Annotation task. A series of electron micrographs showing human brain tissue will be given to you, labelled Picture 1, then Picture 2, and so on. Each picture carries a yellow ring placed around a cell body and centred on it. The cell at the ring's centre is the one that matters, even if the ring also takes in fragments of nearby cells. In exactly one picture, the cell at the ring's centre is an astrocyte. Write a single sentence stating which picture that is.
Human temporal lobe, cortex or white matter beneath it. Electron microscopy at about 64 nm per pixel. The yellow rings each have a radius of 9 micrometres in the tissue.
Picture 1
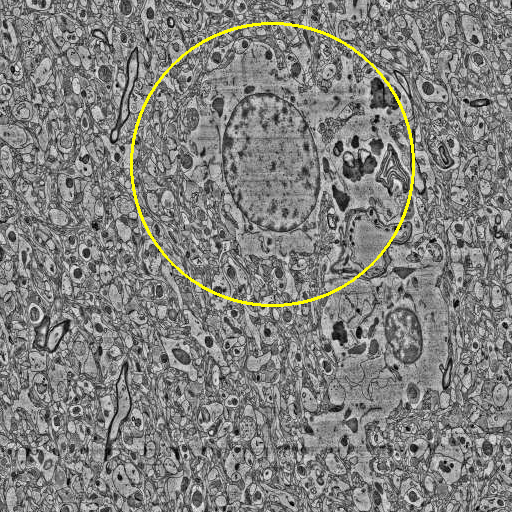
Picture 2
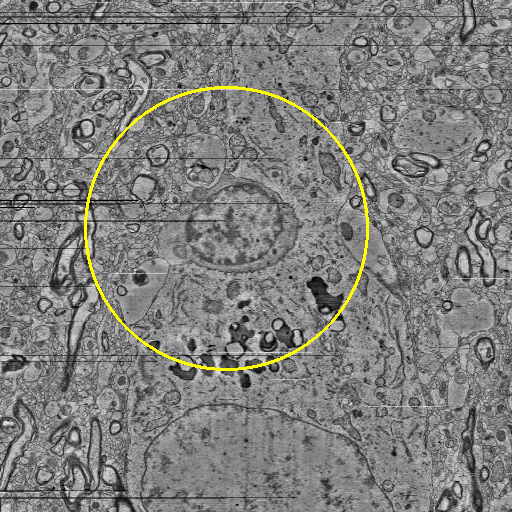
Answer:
Picture 1 holds the requested cell at the very centre of its ring.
